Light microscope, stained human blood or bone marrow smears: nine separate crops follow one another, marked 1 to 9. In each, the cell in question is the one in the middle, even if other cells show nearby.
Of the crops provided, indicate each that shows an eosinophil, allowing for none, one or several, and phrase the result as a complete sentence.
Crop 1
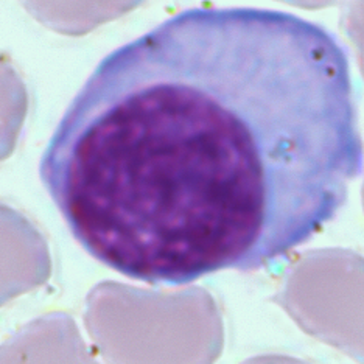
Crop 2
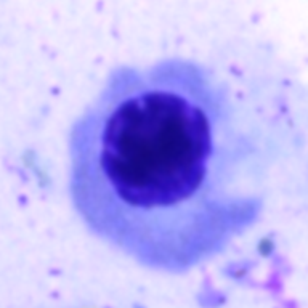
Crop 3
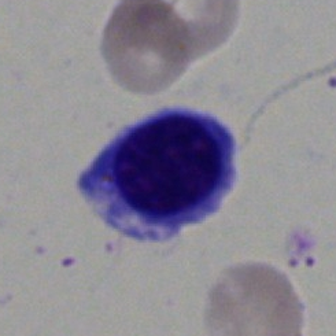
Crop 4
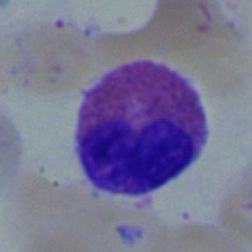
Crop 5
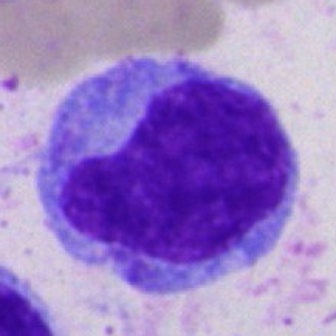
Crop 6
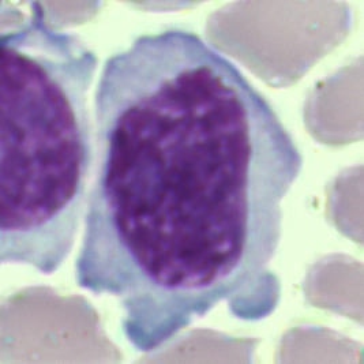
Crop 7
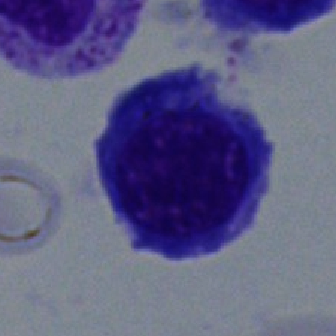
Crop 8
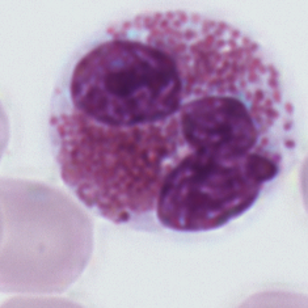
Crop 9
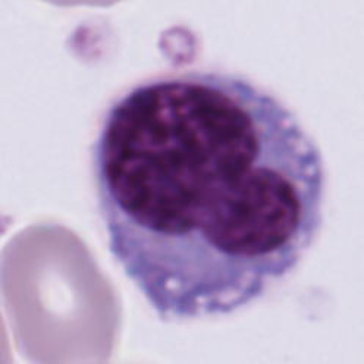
The crops identified as showing eosinophils are 4 and 8.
